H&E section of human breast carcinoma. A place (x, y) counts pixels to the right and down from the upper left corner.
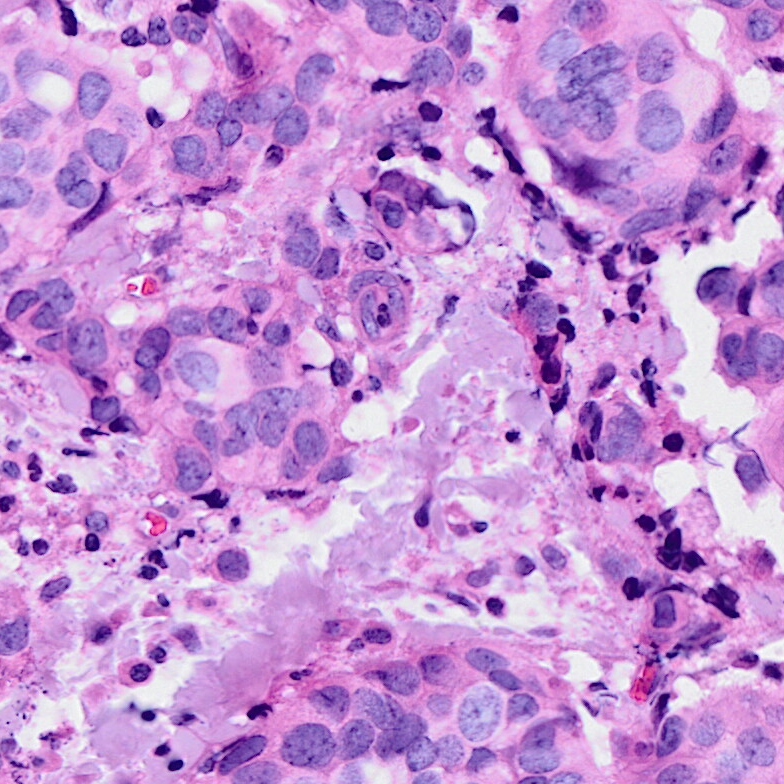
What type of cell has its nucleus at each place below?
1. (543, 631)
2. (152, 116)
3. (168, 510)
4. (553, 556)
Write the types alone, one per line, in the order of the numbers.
fibroblast
lymphocyte
endothelial cell
macrophage, monocyte or dendritic cell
